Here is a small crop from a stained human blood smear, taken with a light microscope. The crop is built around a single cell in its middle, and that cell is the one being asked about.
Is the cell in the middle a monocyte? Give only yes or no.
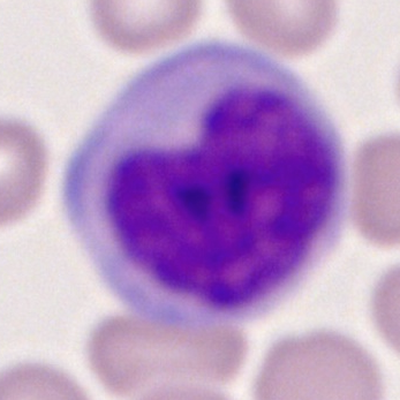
yes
